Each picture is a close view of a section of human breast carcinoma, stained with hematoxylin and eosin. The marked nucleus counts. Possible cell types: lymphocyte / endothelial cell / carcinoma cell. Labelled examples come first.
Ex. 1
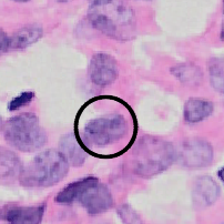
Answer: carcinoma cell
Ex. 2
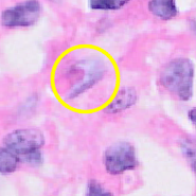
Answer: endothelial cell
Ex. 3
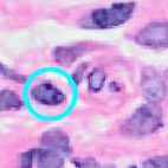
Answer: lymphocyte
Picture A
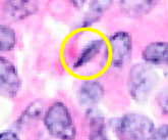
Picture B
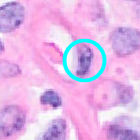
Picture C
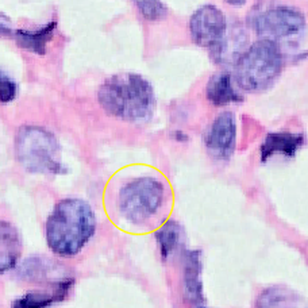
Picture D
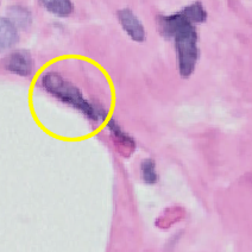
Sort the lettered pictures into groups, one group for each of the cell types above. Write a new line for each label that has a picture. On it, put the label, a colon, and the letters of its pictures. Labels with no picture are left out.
endothelial cell: A, B, D
carcinoma cell: C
